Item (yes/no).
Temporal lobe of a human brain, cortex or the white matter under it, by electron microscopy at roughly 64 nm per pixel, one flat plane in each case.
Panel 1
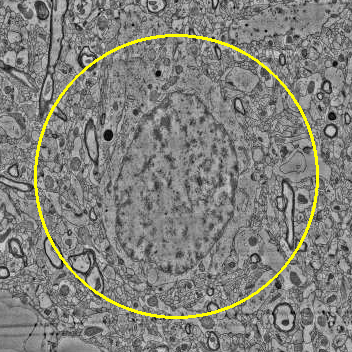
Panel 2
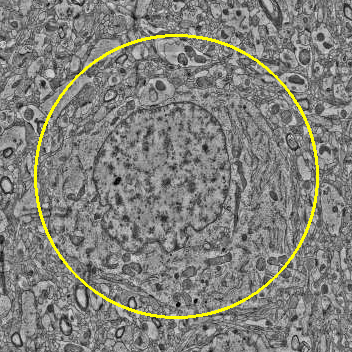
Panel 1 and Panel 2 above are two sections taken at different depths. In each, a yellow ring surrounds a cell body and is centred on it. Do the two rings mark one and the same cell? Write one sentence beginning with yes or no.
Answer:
No, the two rings indicate two different cells, not one.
